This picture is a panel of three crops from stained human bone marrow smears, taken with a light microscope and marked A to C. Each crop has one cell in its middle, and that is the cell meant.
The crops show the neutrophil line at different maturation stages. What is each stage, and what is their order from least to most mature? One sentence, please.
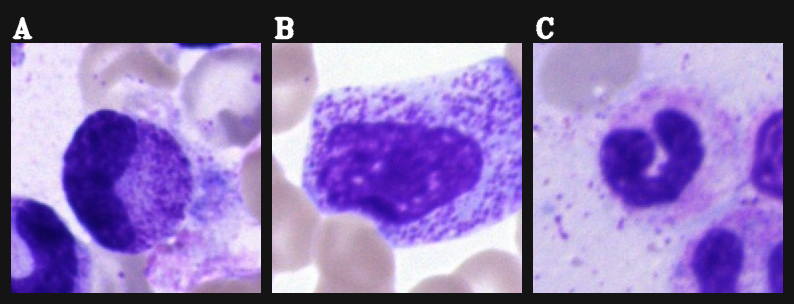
The arrangement from least to most mature is crop B (a myelocyte), crop A (a metamyelocyte) and crop C (a segmented neutrophil).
